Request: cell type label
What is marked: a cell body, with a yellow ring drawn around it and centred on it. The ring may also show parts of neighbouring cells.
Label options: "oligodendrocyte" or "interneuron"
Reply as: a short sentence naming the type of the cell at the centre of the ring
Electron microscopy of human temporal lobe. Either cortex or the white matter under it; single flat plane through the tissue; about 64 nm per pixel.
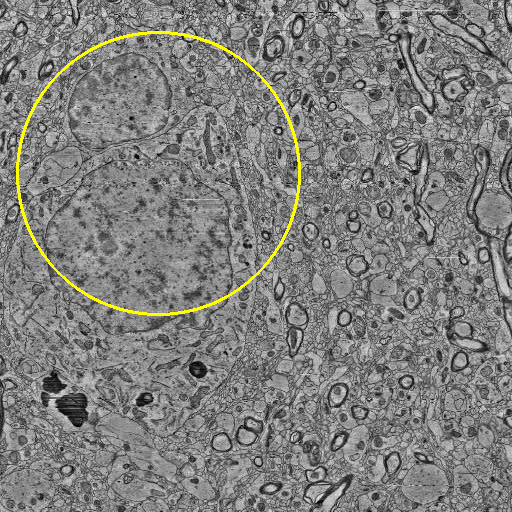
The marked cell body is that of an interneuron.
